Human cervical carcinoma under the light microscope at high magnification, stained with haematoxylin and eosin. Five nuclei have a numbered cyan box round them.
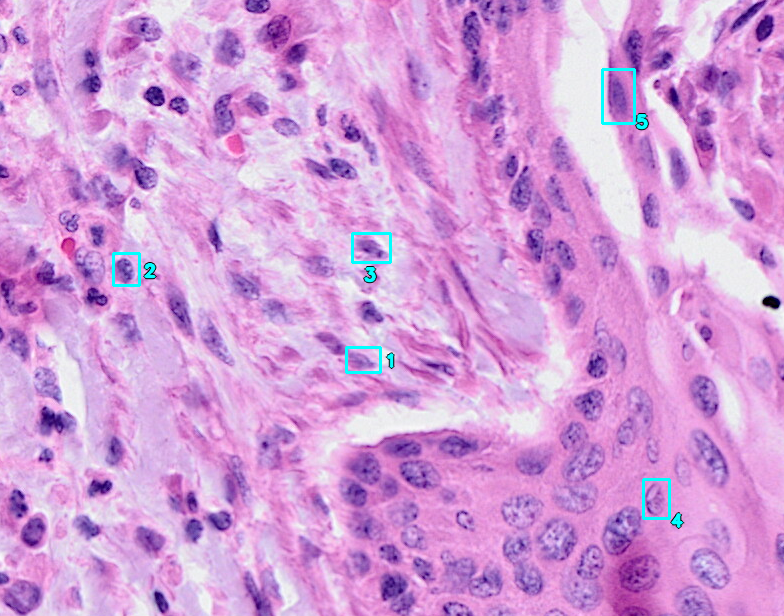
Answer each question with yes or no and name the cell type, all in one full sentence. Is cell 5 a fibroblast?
No, cell 5 is not a fibroblast at all but a squamous carcinoma cell.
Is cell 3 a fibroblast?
Yes, number 3 in this section denotes a fibroblast.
